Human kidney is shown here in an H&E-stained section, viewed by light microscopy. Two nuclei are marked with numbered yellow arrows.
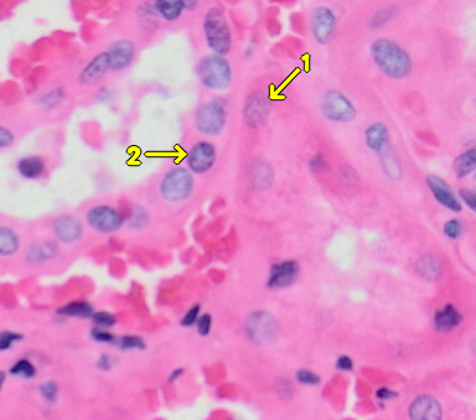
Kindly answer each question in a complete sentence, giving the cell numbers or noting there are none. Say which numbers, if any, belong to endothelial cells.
Found among the numbered cells are no endothelial cells.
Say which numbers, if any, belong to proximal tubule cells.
Only nucleus 1 belongs to a proximal tubule cell; the other numbered nuclei do not.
